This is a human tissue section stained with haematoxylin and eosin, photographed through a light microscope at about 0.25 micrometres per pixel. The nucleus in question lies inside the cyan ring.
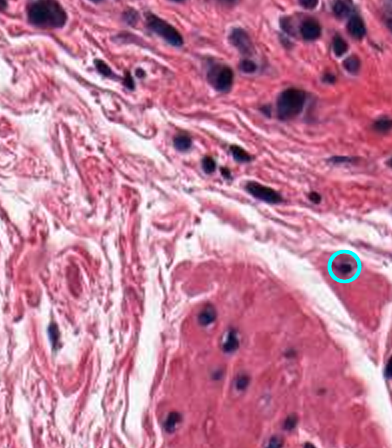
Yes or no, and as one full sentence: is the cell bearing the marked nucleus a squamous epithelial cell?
No, it is not a squamous epithelial cell that the marked nucleus belongs to.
